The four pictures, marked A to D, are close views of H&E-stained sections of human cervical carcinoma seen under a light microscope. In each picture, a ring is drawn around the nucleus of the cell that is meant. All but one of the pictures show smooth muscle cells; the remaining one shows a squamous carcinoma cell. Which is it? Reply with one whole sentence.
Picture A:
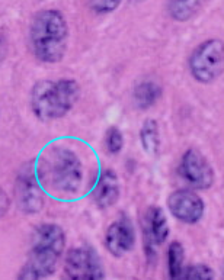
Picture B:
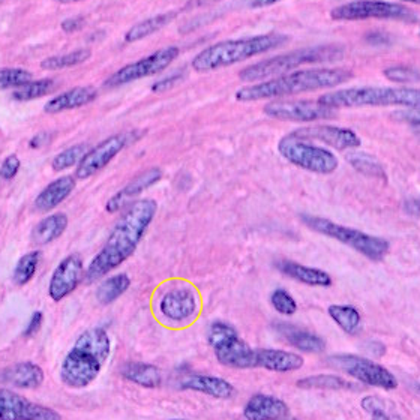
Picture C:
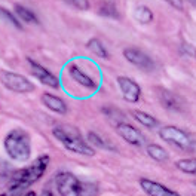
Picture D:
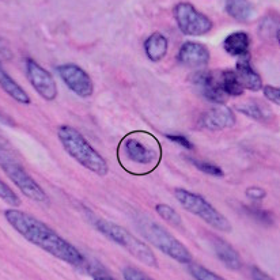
The squamous carcinoma cell is the one in picture A.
